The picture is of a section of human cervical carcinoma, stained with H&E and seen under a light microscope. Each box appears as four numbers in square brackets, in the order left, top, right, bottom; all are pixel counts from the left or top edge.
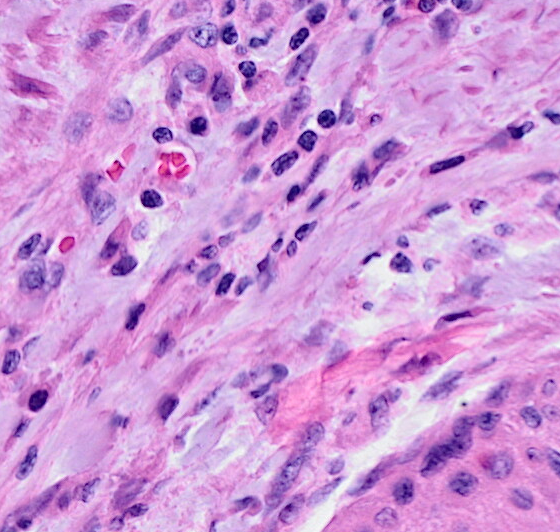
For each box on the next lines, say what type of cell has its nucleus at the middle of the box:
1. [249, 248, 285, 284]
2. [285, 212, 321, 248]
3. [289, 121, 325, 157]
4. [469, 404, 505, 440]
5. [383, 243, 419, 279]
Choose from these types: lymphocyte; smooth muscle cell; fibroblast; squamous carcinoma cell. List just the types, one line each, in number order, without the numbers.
fibroblast
lymphocyte
lymphocyte
squamous carcinoma cell
lymphocyte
